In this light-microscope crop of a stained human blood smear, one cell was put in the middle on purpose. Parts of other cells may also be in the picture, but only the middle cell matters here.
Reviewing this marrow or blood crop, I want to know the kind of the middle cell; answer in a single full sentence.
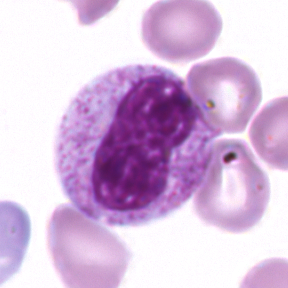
The crop's centre is taken up by a metamyelocyte.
